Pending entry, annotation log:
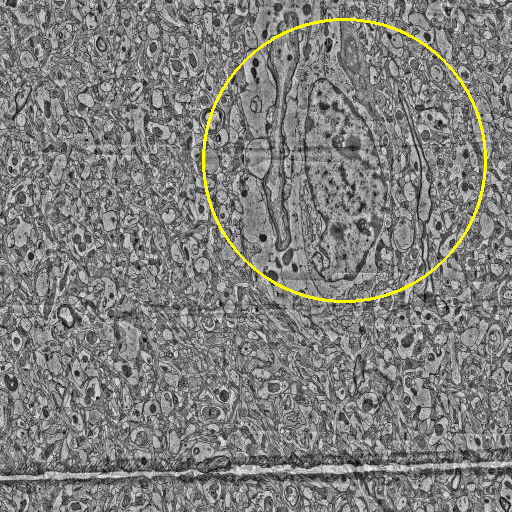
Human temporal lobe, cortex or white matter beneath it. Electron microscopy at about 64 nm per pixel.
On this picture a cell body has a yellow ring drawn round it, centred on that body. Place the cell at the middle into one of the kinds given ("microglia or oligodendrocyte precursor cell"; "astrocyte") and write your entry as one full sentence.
The cell body at the middle of the yellow ring belongs to a microglial cell or oligodendrocyte precursor cell.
